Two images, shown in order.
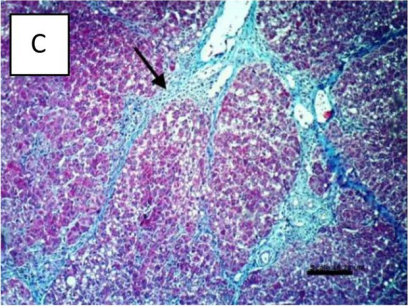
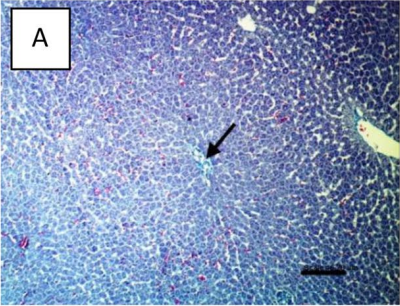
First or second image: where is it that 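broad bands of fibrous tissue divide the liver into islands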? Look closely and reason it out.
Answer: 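Second image: evenly arranged liver cells with only a tiny blue-green spot near a vessel. First image: thick blue-green bands surround rounded islands of red-purple liver cells. So: the first image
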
